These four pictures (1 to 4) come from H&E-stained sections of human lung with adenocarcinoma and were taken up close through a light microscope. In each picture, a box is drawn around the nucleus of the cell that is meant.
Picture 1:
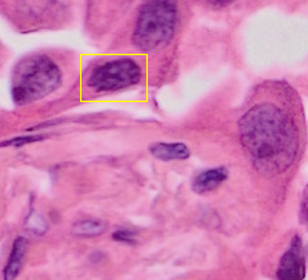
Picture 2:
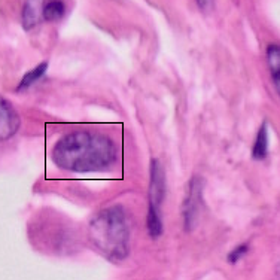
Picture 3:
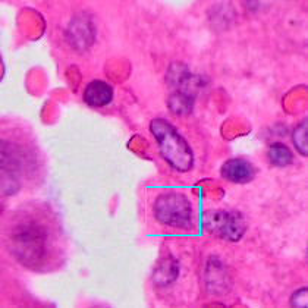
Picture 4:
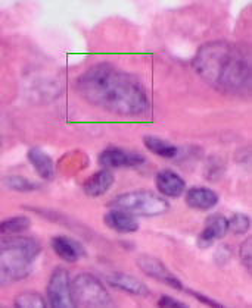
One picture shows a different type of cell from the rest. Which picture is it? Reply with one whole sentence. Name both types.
All pictures except 3 show carcinoma cells; picture 3 shows a “macrophage or monocyte”.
